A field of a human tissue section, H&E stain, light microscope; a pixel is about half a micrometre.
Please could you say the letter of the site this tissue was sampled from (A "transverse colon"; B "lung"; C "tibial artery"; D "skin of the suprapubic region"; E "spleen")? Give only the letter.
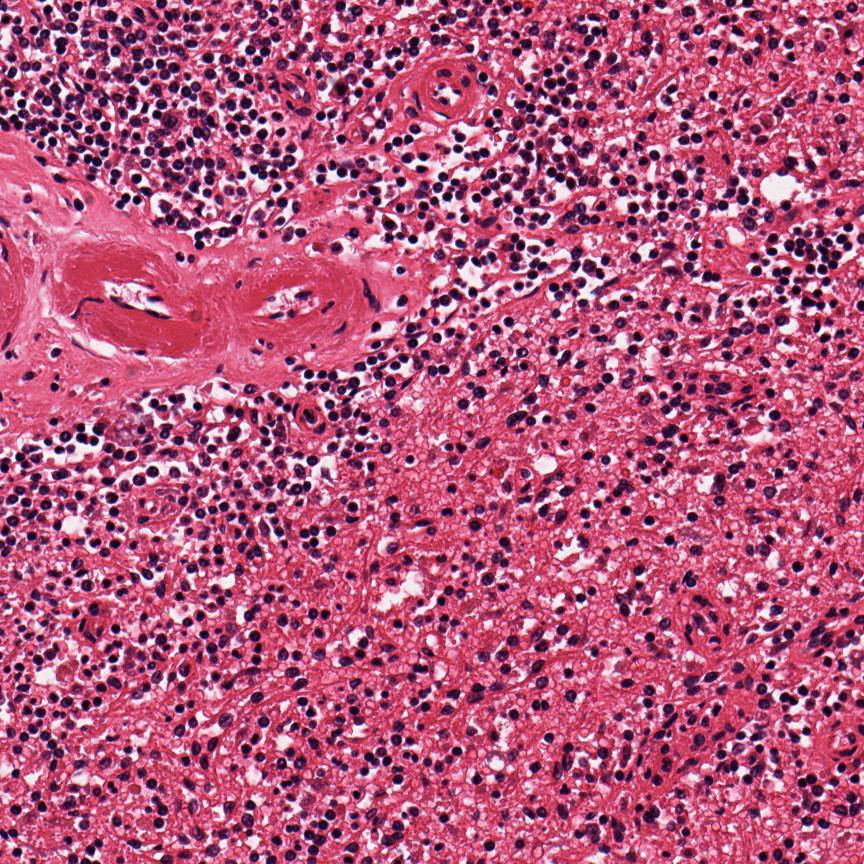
E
